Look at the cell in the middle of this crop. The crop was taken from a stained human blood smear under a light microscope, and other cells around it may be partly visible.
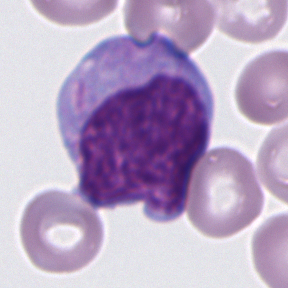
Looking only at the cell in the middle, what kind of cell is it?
atypical promyelocyte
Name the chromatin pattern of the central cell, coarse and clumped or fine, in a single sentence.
The nucleus shows chromatin that is coarsely clumped.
